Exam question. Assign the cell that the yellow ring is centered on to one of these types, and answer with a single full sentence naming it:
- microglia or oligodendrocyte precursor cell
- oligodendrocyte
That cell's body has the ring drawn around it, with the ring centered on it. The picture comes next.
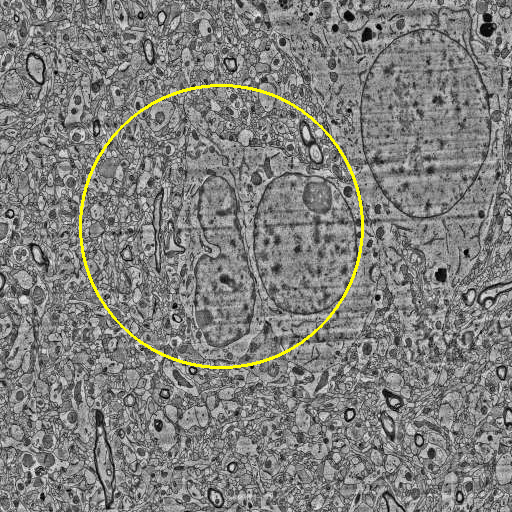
In the micrograph, the cell the yellow ring is centered on is a microglial cell or oligodendrocyte precursor cell.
